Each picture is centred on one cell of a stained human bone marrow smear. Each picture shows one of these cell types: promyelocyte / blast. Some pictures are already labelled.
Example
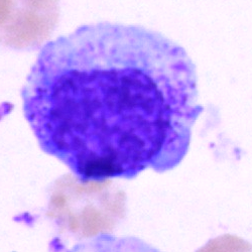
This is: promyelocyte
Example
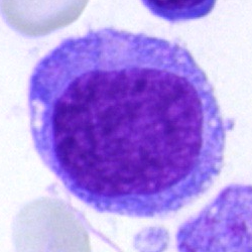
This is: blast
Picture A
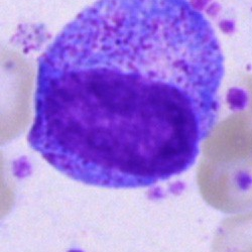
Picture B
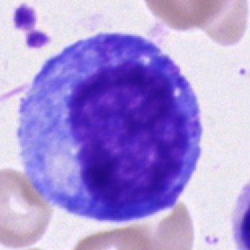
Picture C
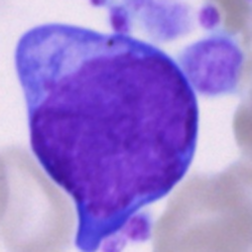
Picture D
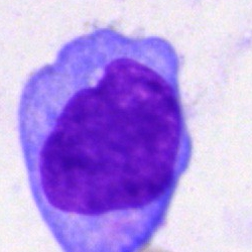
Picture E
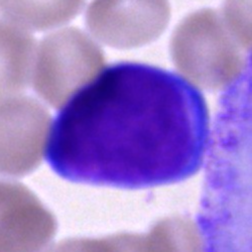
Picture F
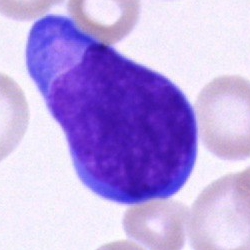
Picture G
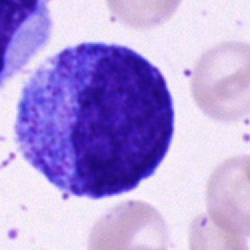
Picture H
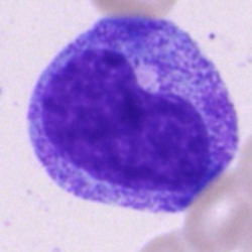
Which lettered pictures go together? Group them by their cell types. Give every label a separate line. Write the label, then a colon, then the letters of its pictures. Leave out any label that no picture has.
promyelocyte: A, B, G, H
blast: C, D, E, F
